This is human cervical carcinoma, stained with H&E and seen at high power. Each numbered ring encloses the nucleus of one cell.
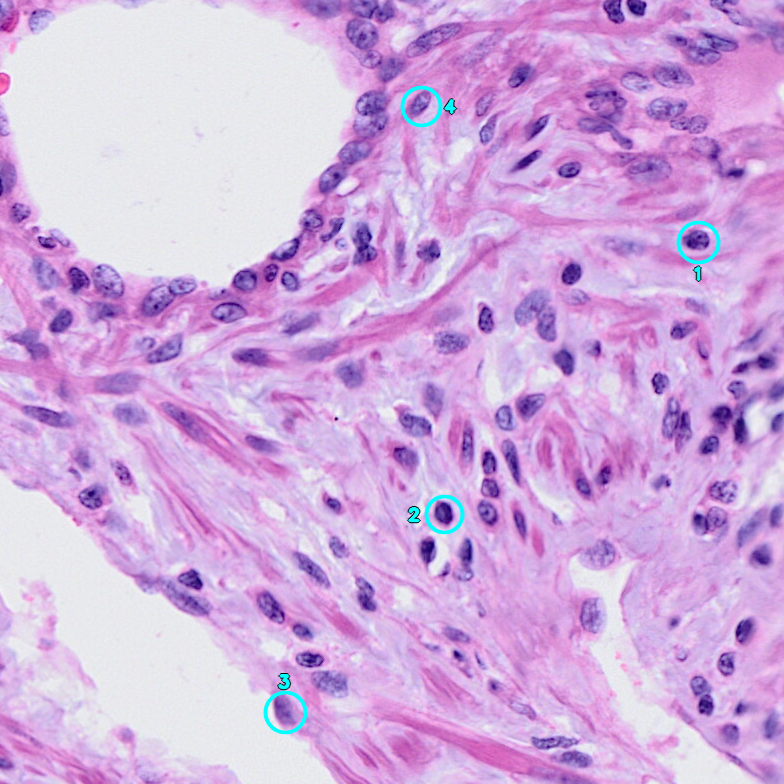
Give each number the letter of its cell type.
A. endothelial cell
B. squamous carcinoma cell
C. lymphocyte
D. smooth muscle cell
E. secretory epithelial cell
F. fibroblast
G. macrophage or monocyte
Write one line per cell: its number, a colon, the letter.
1: C
2: C
3: A
4: D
